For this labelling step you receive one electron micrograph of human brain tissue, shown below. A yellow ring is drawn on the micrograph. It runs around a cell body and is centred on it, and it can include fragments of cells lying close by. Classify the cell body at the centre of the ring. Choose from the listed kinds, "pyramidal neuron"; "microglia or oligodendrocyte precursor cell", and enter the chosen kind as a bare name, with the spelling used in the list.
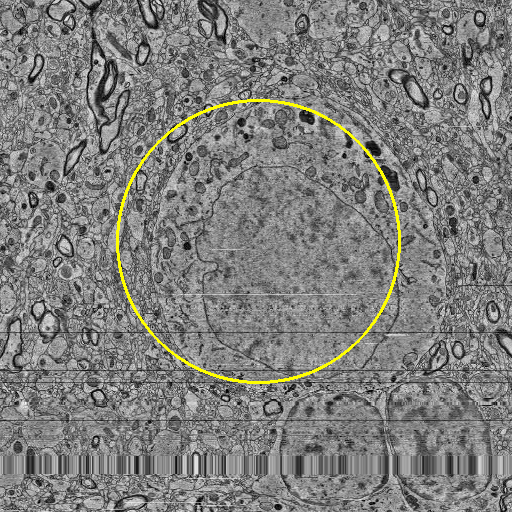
pyramidal neuron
